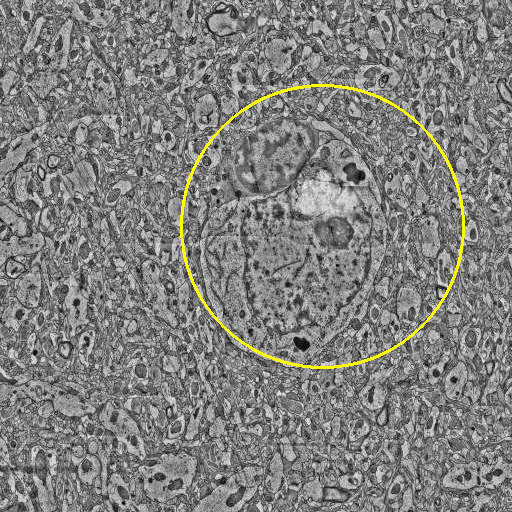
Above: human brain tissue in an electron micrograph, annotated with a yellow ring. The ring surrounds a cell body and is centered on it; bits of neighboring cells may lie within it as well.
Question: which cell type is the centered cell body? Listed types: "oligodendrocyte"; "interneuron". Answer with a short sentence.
The centered cell body is an interneuron.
